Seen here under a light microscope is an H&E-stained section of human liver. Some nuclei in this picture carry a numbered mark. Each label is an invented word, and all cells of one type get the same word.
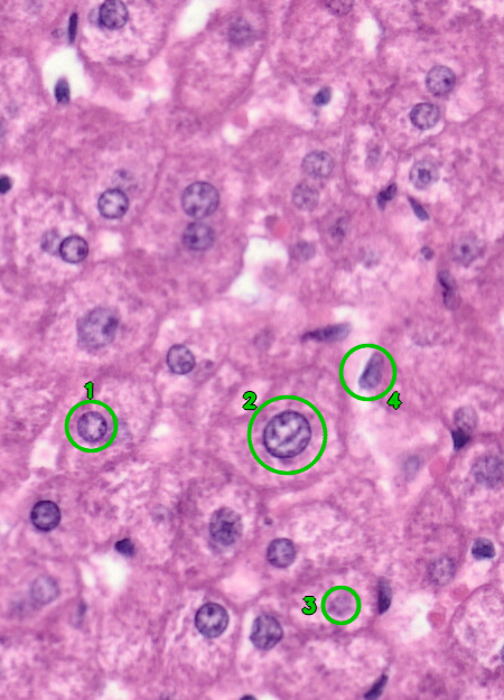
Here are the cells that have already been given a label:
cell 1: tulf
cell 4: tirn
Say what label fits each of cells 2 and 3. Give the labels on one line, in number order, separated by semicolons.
tulf; tulf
